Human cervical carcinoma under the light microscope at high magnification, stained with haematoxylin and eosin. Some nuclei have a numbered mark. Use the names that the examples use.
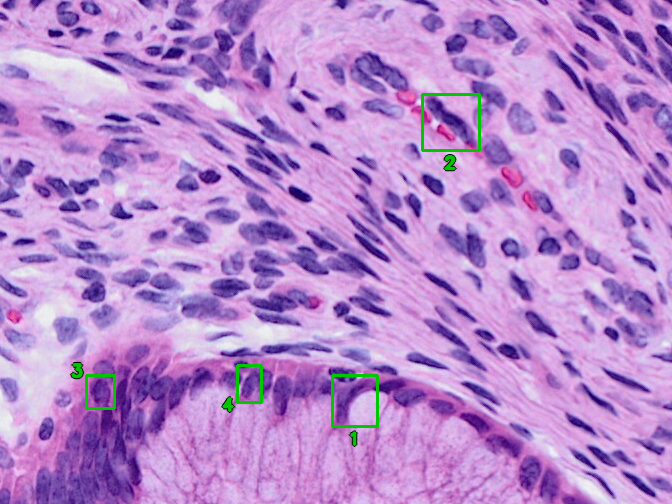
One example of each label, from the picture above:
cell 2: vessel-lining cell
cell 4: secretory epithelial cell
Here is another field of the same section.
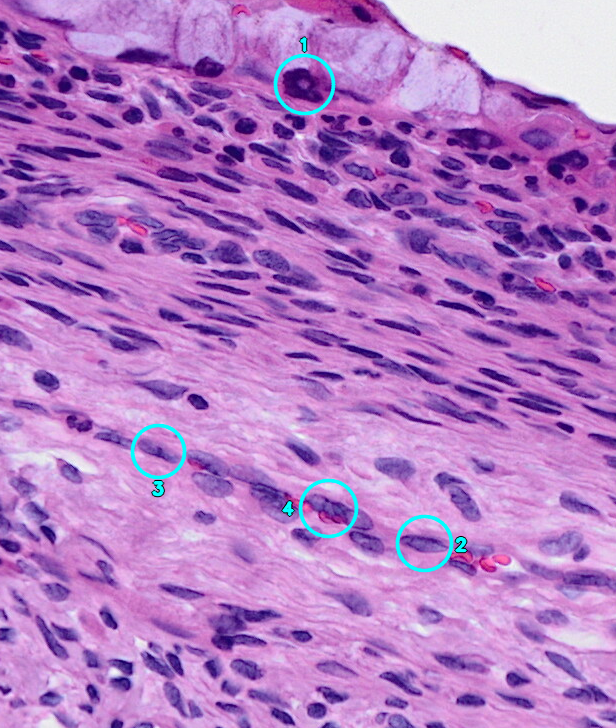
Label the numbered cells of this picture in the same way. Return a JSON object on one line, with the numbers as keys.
{"1": "secretory epithelial cell", "2": "vessel-lining cell", "3": "vessel-lining cell", "4": "vessel-lining cell"}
